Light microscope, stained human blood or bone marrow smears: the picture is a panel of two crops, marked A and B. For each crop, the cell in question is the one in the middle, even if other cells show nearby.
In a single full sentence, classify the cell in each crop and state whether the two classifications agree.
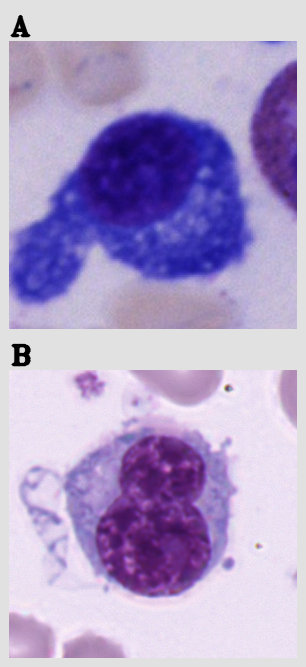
Yes, in the two crops, plasma cells are the cells at the centre.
